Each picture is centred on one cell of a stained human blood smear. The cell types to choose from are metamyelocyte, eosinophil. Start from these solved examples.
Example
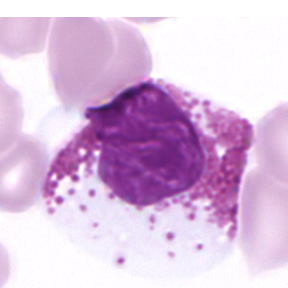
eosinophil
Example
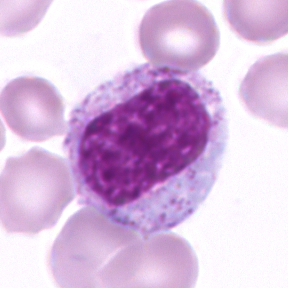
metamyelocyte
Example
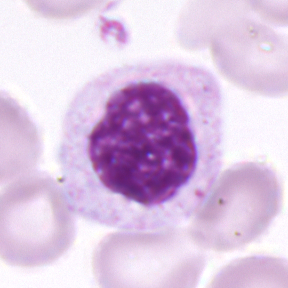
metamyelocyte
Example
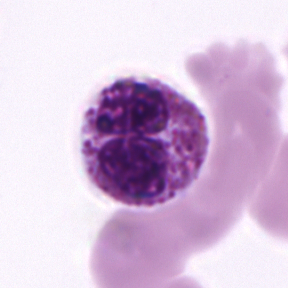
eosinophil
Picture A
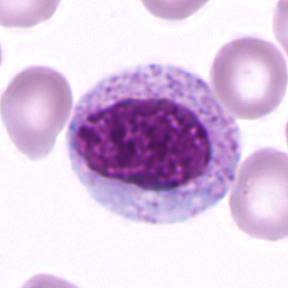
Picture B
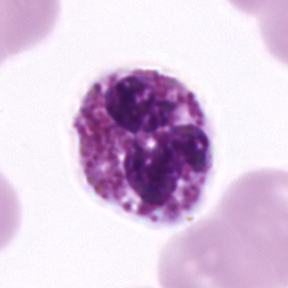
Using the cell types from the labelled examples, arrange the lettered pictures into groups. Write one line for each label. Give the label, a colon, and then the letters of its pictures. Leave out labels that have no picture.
metamyelocyte: A
eosinophil: B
